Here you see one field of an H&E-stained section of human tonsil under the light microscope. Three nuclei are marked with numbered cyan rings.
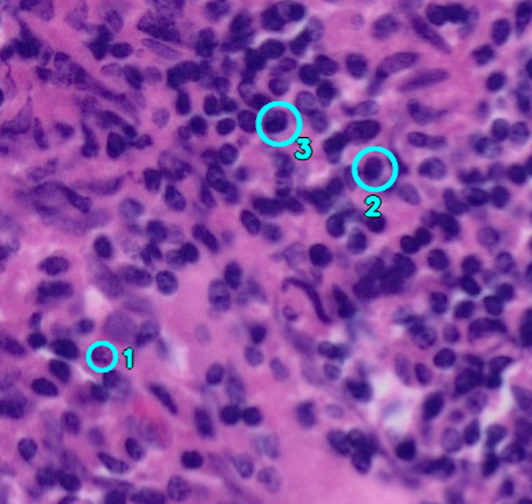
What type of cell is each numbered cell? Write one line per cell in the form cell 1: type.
cell 1: plasma cell
cell 2: small lymphocyte
cell 3: small lymphocyte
